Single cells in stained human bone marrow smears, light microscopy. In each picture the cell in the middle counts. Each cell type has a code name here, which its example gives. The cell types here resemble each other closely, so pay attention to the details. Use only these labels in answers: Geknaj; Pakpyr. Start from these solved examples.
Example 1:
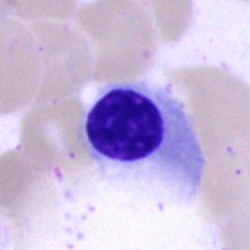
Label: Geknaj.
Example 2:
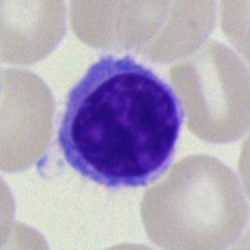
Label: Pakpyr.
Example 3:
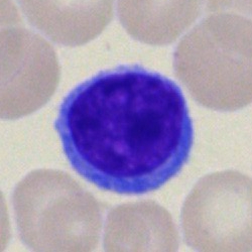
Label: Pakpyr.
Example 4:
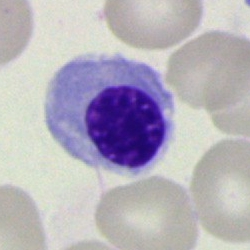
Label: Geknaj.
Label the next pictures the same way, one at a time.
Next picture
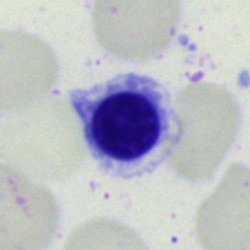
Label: Geknaj.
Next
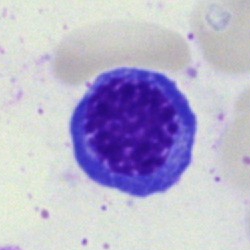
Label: Geknaj.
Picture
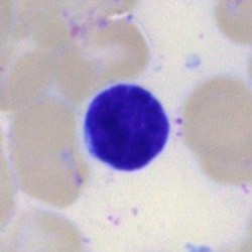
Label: Pakpyr.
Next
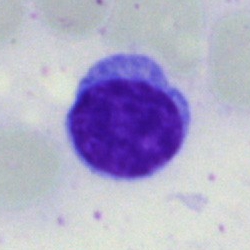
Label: Pakpyr.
